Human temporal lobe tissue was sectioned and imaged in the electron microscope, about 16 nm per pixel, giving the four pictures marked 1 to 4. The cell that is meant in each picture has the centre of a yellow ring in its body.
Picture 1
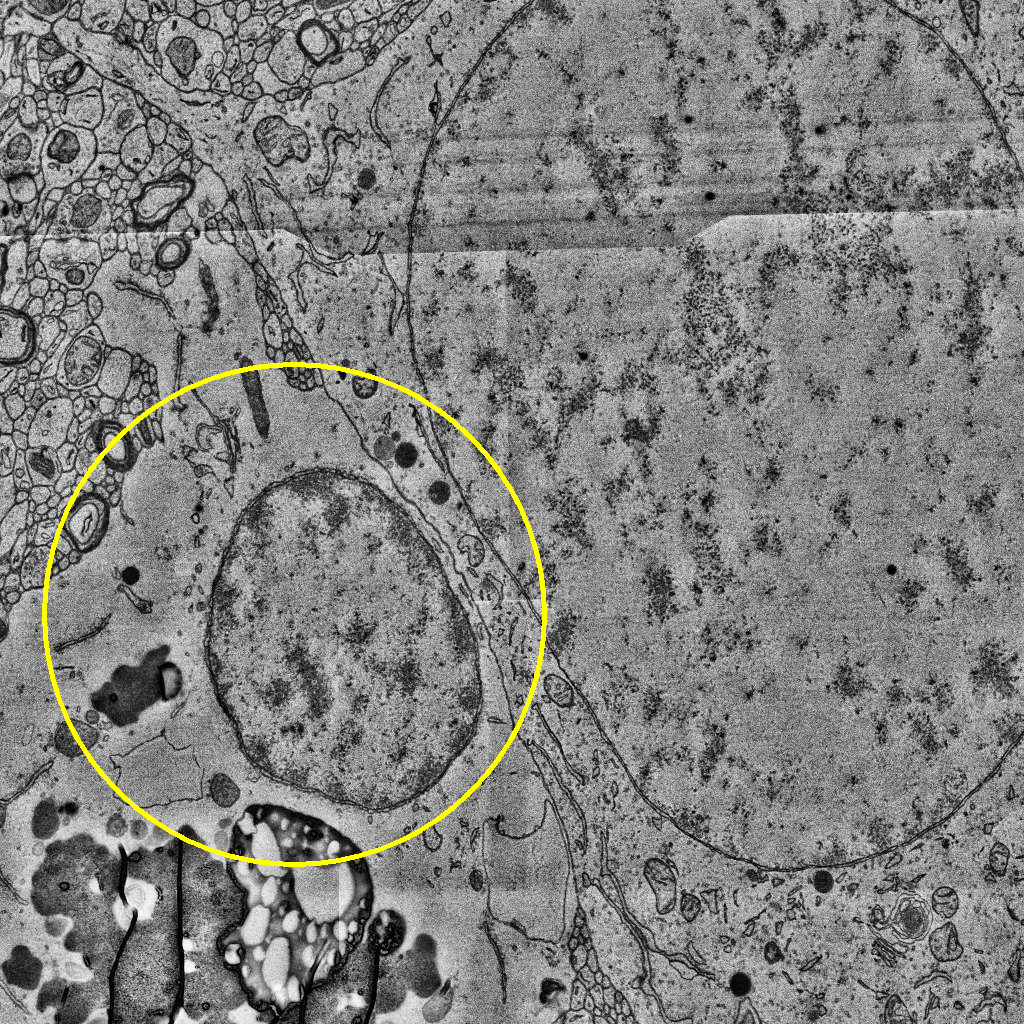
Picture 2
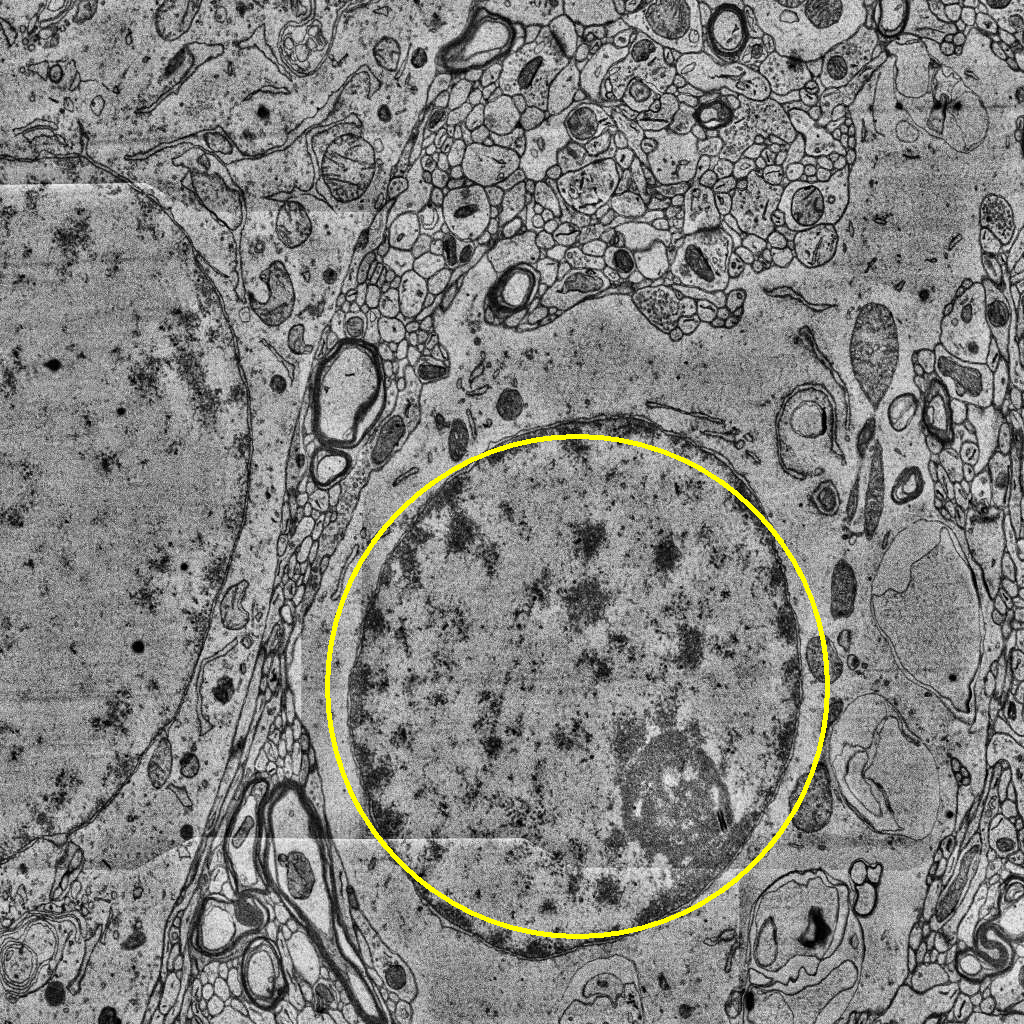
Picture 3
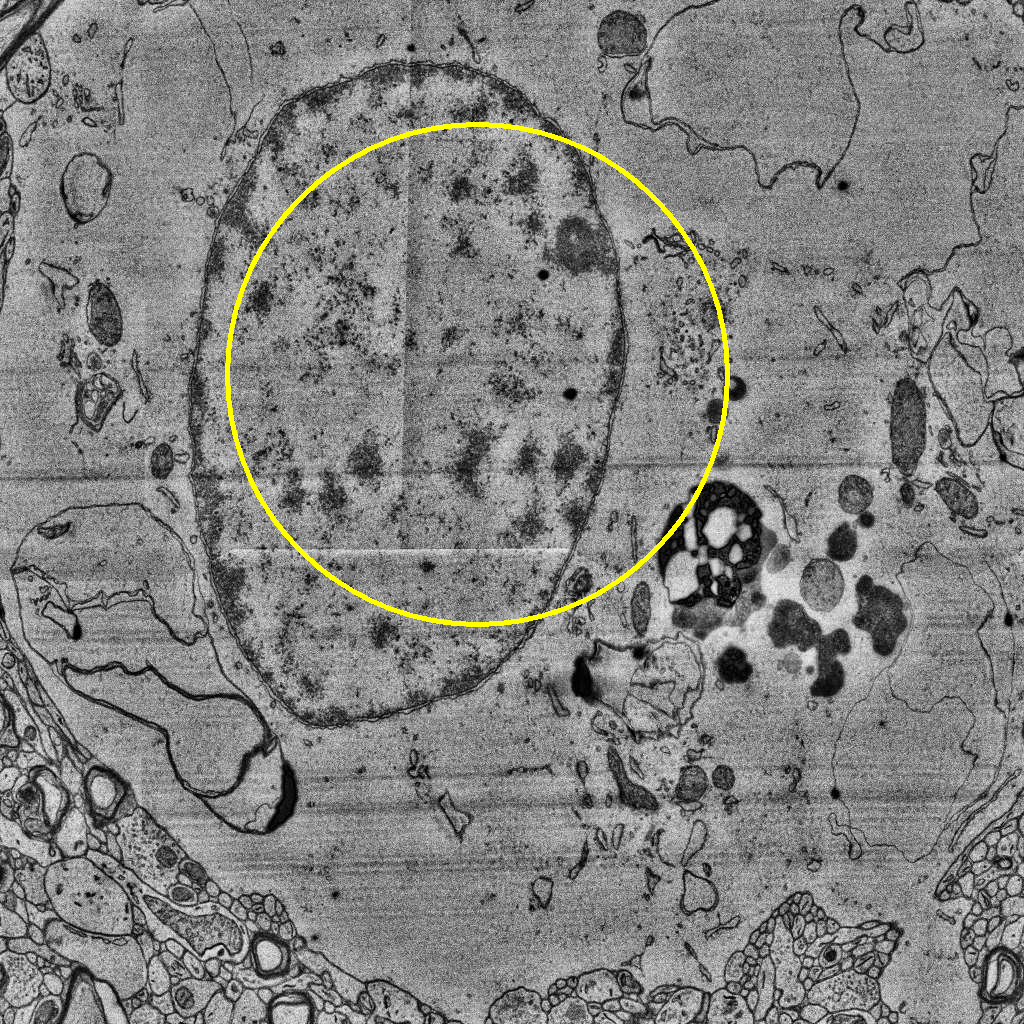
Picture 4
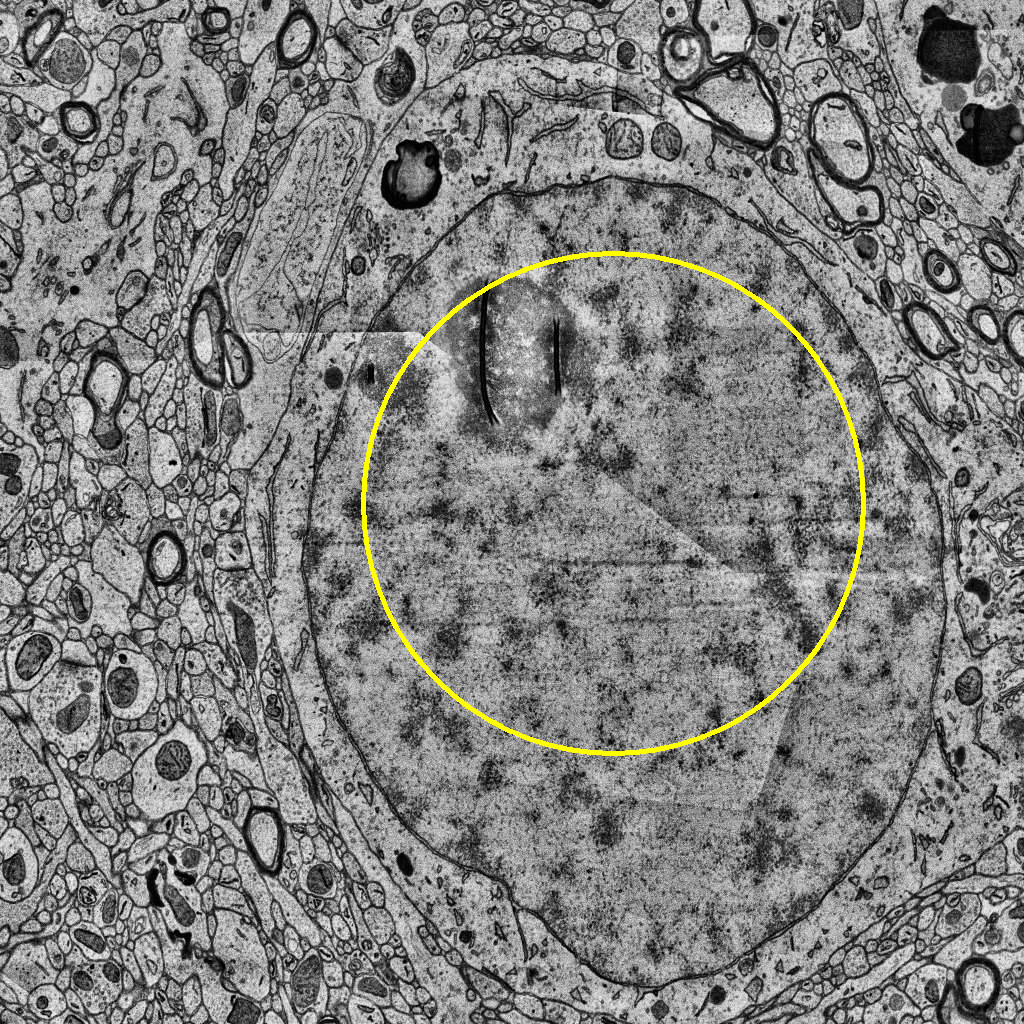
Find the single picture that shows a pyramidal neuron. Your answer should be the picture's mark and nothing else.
4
